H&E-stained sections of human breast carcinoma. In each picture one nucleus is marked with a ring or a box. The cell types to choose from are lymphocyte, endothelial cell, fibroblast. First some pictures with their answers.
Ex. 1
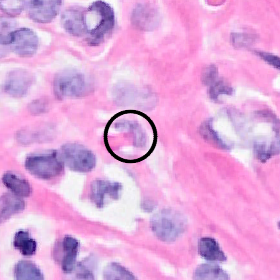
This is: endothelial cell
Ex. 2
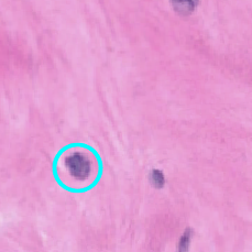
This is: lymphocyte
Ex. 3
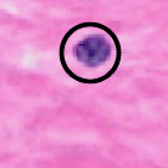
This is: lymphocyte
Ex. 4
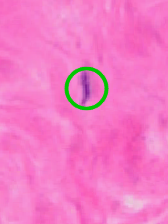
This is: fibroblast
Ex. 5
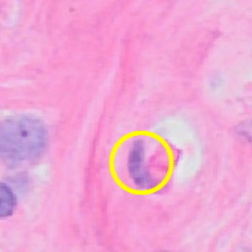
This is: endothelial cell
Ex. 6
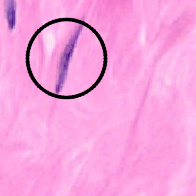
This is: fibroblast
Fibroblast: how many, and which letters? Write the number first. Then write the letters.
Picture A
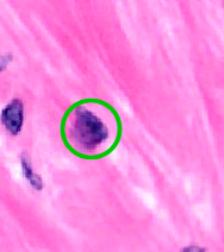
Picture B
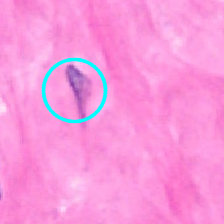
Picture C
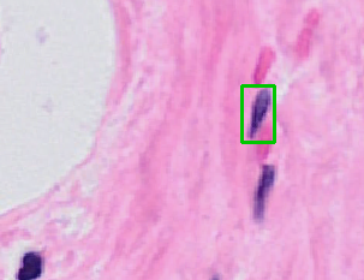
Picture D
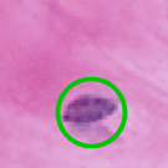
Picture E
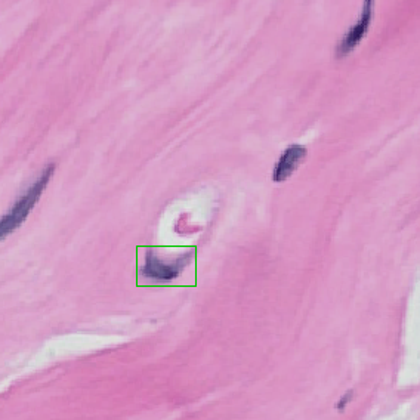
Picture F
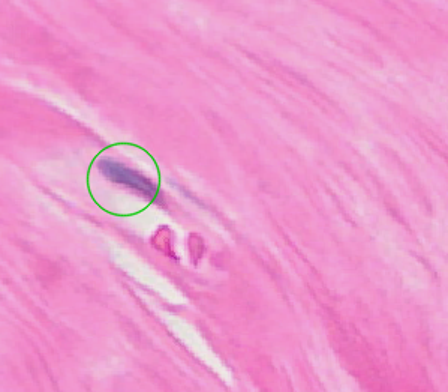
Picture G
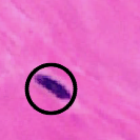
2: B, D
